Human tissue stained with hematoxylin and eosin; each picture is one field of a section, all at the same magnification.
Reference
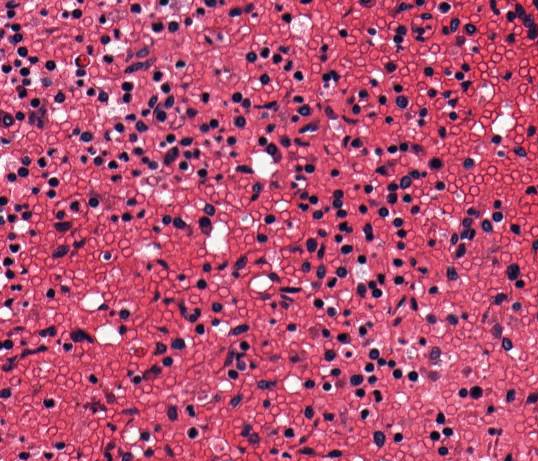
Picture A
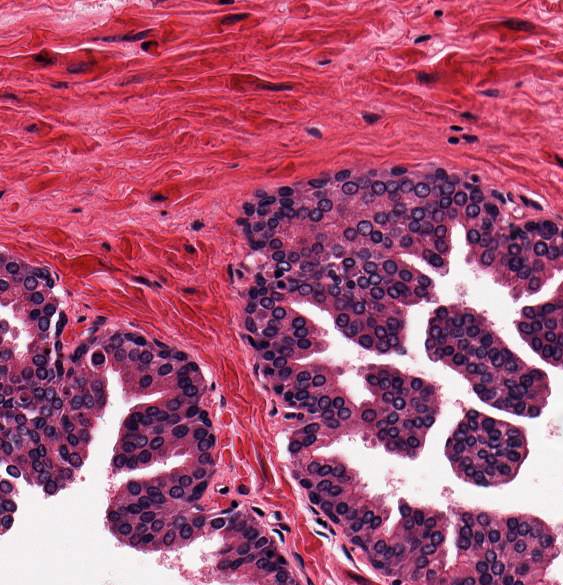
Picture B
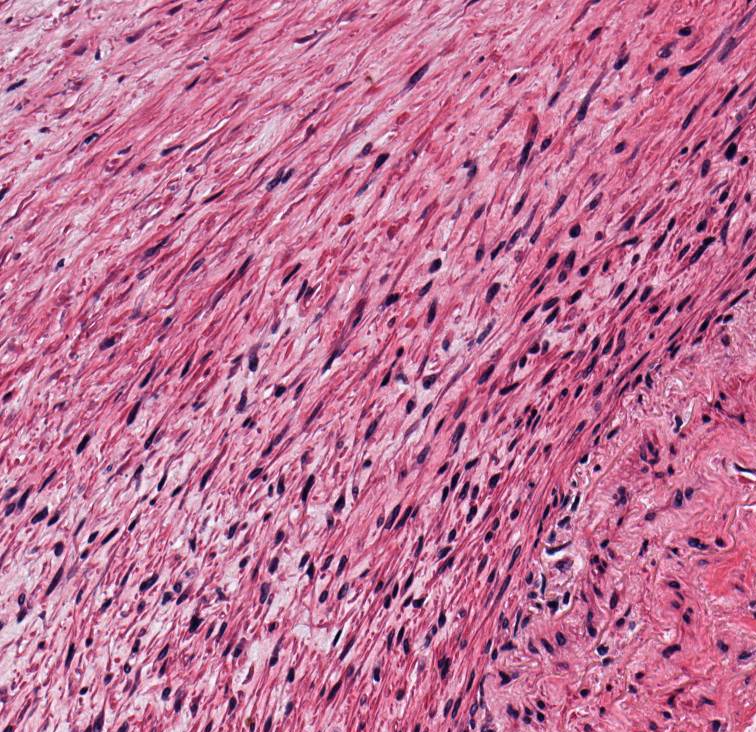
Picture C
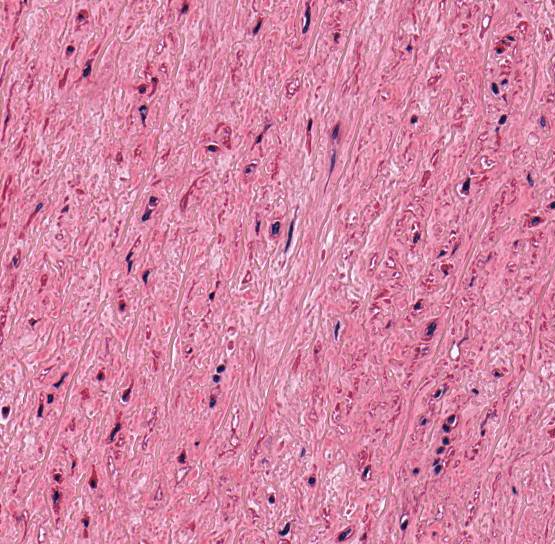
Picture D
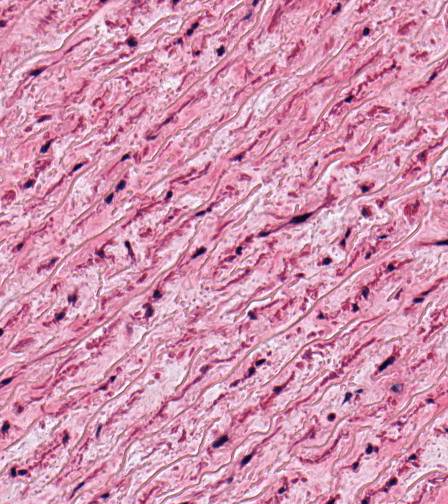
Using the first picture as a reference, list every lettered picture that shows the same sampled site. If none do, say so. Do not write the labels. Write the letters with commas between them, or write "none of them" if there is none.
none of them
